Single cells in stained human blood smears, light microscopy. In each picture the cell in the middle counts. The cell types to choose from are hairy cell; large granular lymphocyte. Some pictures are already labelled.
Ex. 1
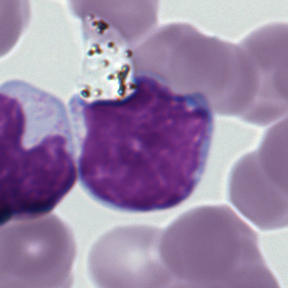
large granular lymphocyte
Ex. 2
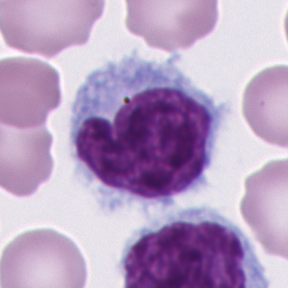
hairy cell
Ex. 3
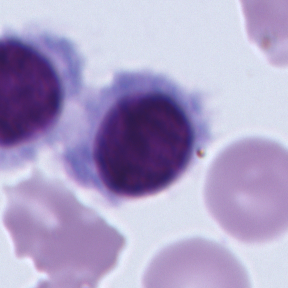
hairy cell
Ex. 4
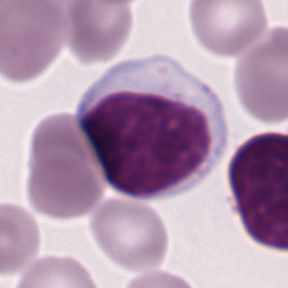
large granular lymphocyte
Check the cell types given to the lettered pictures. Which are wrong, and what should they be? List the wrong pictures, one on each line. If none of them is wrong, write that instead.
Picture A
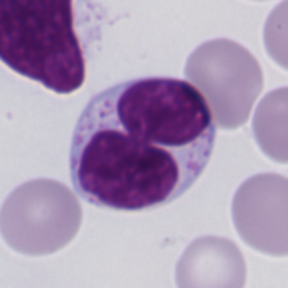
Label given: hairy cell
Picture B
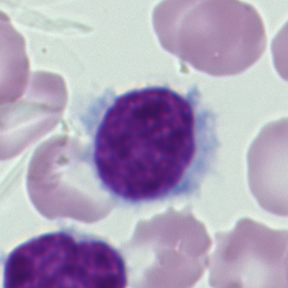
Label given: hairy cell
Wrong: A (hairy cell); correct: large granular lymphocyte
